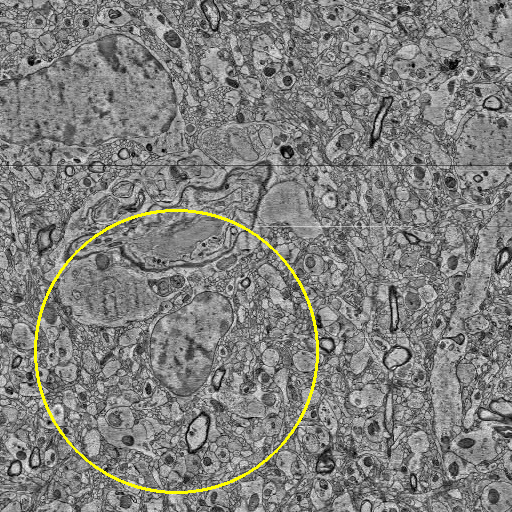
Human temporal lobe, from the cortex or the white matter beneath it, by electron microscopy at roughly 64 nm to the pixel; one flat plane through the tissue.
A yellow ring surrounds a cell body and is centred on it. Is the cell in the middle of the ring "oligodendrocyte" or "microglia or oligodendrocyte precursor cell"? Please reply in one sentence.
The ring is centred on a microglial cell or oligodendrocyte precursor cell.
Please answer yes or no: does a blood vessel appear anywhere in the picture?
Yes.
